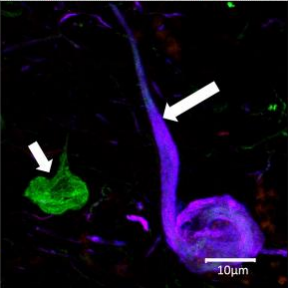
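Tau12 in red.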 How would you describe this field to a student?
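A neurofibrillary tangle fills a neuronal cell body, its fibrils wound into a rounded whorl at the soma and continuing up a long tapering process, shown in purple where red and blue overlap. Beside it lies a smaller, separate fibrillary profile in green only, which does not share the purple colour.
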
